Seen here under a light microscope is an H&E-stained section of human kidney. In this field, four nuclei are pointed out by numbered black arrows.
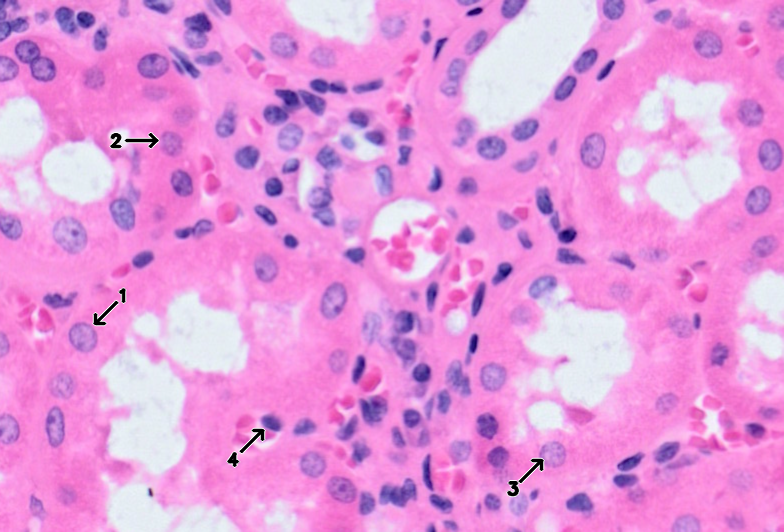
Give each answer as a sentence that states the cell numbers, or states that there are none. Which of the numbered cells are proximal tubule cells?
The cells with labels 1, 2 and 3 are proximal tubule cells.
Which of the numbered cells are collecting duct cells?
No numbered nucleus belongs to one of the collecting duct cells.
